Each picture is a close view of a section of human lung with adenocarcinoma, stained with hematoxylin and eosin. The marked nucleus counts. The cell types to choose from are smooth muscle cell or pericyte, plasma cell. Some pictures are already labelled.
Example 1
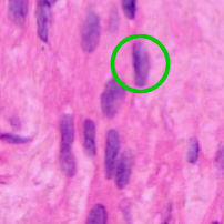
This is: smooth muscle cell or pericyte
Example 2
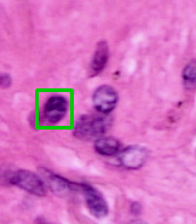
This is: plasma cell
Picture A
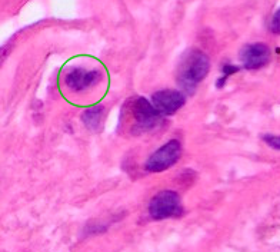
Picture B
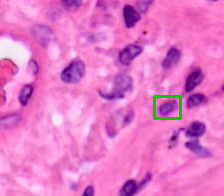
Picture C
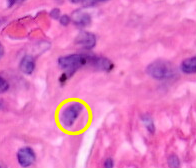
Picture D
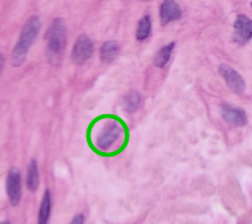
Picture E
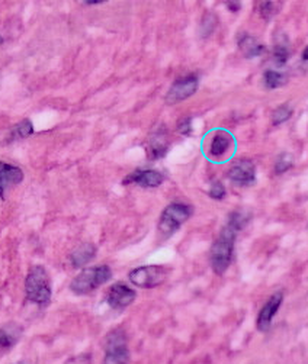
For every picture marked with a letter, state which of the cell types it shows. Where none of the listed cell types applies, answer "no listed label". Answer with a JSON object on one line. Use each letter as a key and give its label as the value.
{"A": "plasma cell", "B": "no listed label", "C": "no listed label", "D": "smooth muscle cell or pericyte", "E": "smooth muscle cell or pericyte"}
